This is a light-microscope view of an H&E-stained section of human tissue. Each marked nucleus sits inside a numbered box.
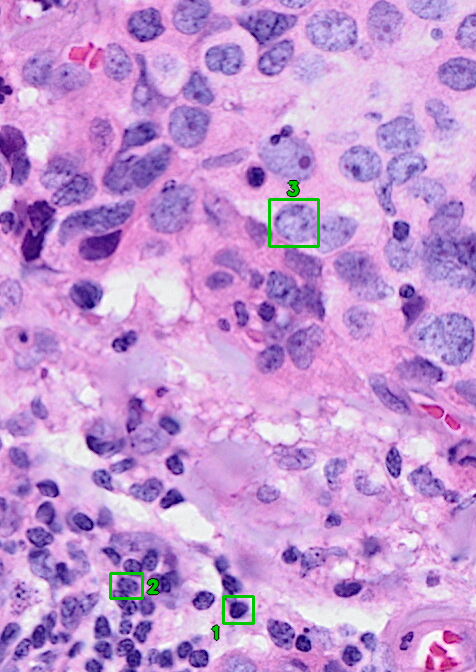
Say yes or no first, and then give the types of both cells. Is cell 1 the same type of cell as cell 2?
Yes, the two numbered cells, 1 and 2, are both lymphocytes.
